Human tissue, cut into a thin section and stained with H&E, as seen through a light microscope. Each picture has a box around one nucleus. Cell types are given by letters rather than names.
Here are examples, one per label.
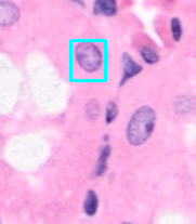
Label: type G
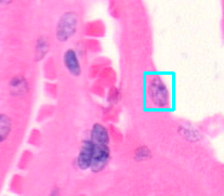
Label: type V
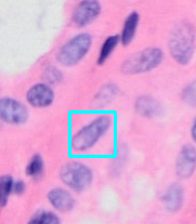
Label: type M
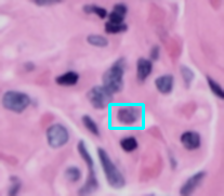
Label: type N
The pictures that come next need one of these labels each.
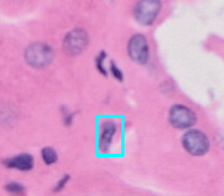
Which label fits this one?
type N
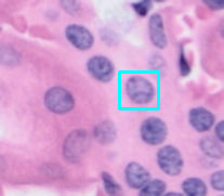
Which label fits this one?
type M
